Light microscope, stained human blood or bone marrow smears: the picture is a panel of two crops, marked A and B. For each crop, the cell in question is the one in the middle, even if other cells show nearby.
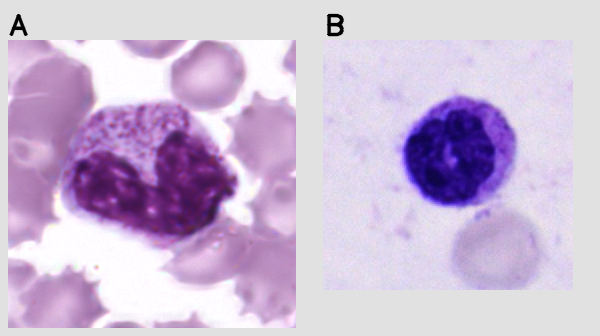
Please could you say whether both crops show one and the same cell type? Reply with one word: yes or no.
yes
